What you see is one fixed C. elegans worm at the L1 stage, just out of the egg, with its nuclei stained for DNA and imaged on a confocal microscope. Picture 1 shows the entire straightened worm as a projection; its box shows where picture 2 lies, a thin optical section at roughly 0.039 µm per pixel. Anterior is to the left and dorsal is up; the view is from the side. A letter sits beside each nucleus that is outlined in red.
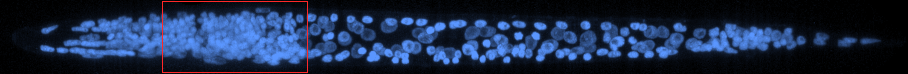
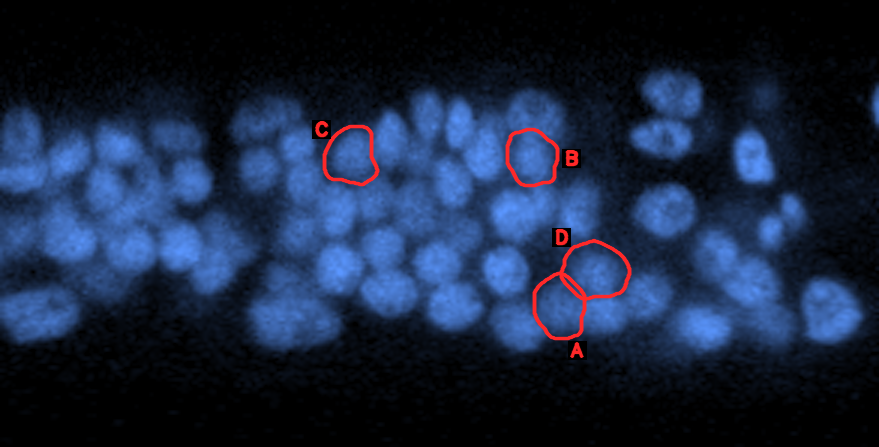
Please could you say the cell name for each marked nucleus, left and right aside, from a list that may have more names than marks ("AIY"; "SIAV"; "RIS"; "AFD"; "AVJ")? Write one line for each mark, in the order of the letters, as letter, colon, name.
A: AIY
B: AVJ
C: AFD
D: RIS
